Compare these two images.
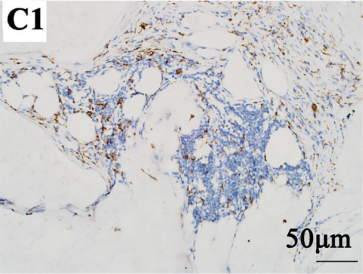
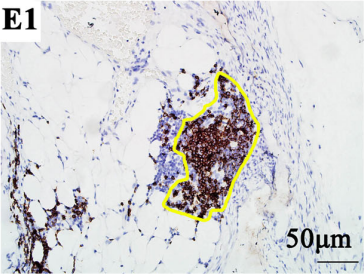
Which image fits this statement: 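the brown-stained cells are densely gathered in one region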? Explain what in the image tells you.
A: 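The second image. Second image: brown-stained cells form one dense, compact patch within the cluster. First image: brown-stained cells are scattered singly, mostly around the cluster and in the surrounding tissue.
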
